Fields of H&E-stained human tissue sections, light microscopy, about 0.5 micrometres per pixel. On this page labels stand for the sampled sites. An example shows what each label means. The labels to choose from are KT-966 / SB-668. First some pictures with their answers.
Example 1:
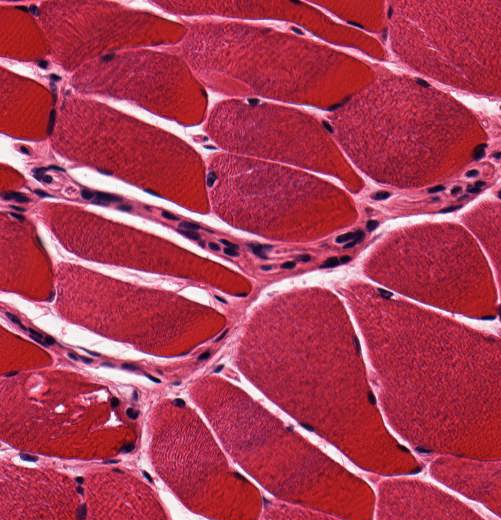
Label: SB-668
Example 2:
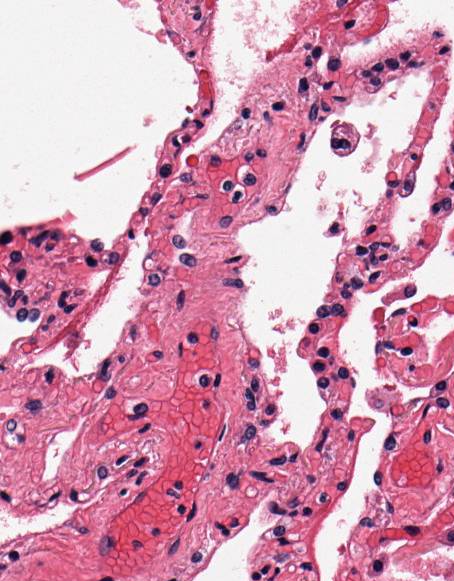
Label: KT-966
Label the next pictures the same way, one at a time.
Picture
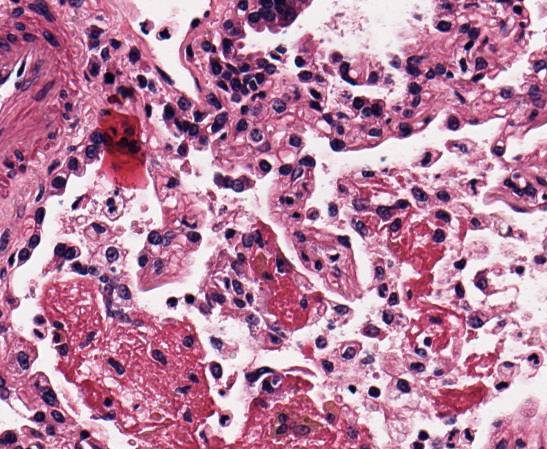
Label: KT-966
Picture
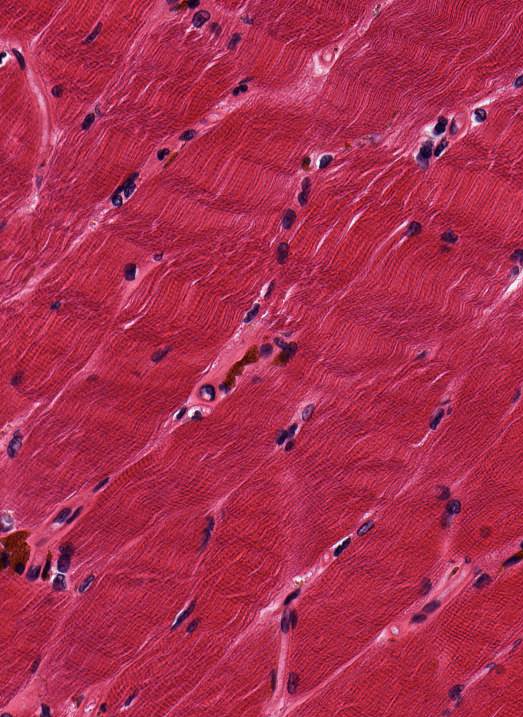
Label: SB-668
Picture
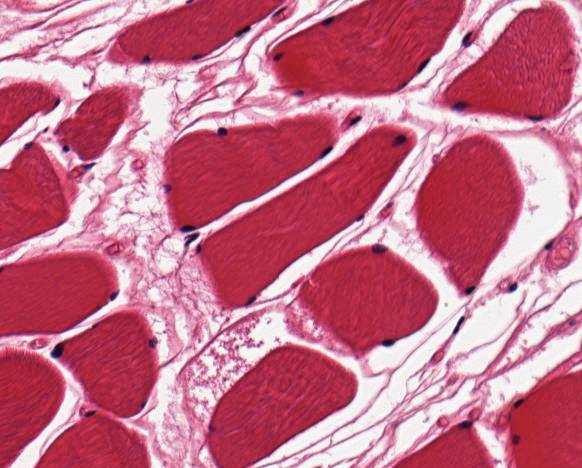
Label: SB-668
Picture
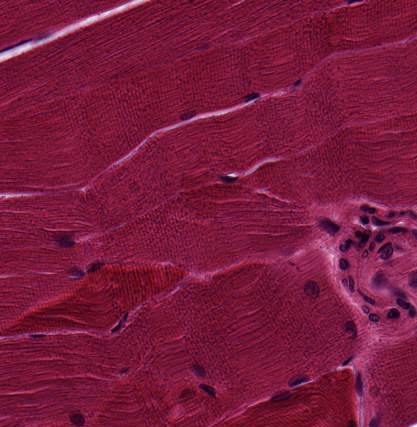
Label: SB-668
